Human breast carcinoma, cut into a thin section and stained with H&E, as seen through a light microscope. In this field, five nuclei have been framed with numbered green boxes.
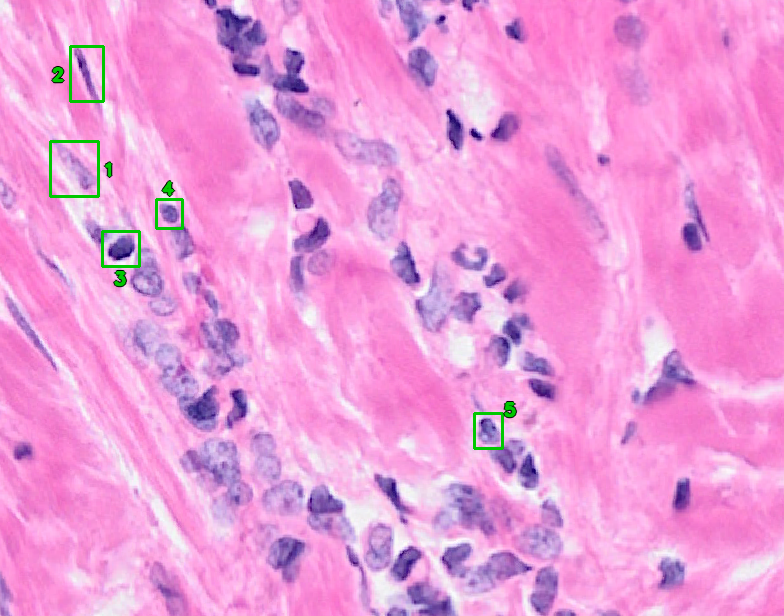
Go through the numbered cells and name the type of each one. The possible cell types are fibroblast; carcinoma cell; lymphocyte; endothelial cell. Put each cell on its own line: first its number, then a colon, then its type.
1: fibroblast
2: fibroblast
3: lymphocyte
4: lymphocyte
5: lymphocyte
